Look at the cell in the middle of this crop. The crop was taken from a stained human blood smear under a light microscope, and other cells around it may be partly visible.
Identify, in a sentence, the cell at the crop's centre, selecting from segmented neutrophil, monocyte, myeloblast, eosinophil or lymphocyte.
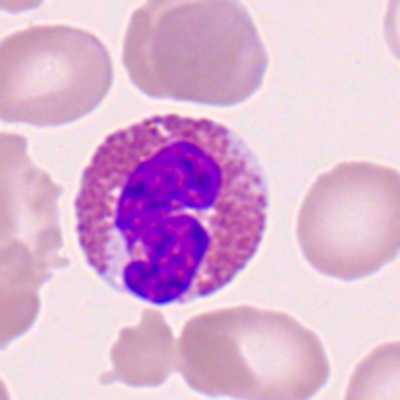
In this crop, the cell at the very middle is an eosinophil.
